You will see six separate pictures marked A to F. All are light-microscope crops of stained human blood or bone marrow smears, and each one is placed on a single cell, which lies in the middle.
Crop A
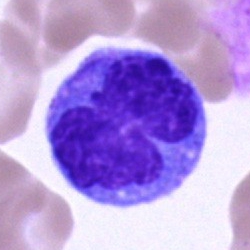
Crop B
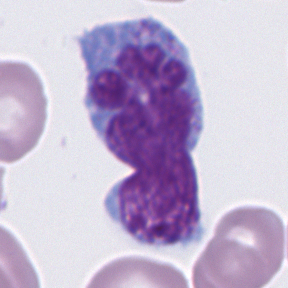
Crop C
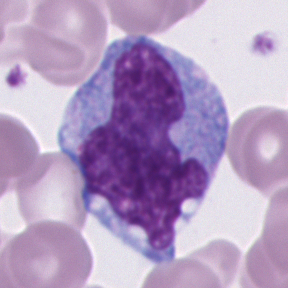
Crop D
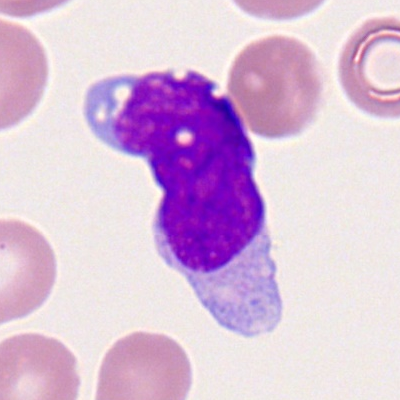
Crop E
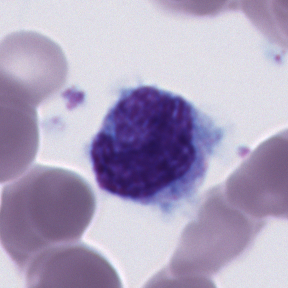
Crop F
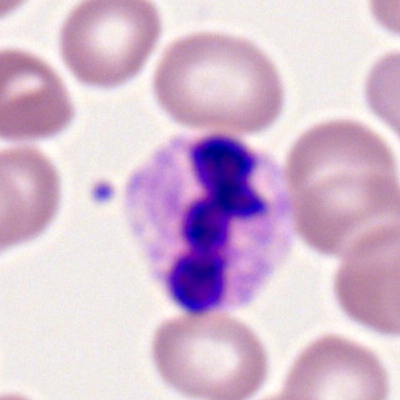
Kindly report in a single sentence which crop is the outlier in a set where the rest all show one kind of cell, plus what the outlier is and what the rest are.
Crop F is different, showing a segmented neutrophil, whereas all the others show monocytes.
